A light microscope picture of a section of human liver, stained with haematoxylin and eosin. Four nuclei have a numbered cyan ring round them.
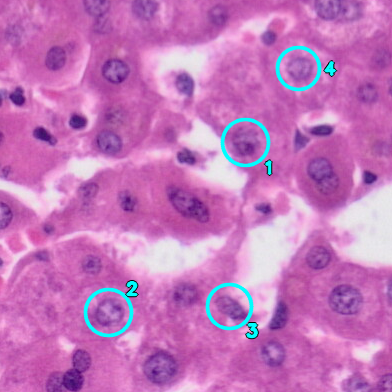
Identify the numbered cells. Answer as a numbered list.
1. hepatocyte
2. hepatocyte
3. Kupffer cell
4. hepatocyte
